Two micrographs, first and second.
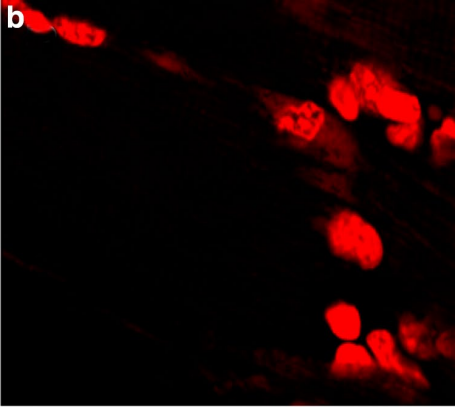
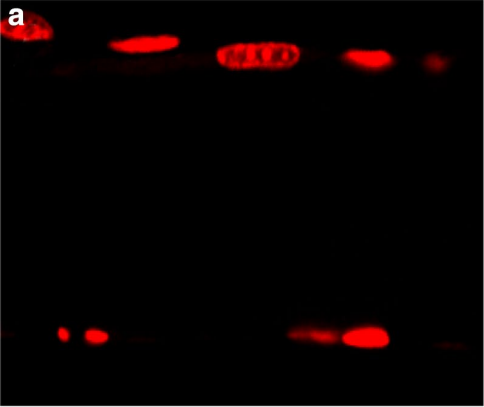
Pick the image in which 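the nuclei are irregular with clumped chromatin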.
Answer: The first image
